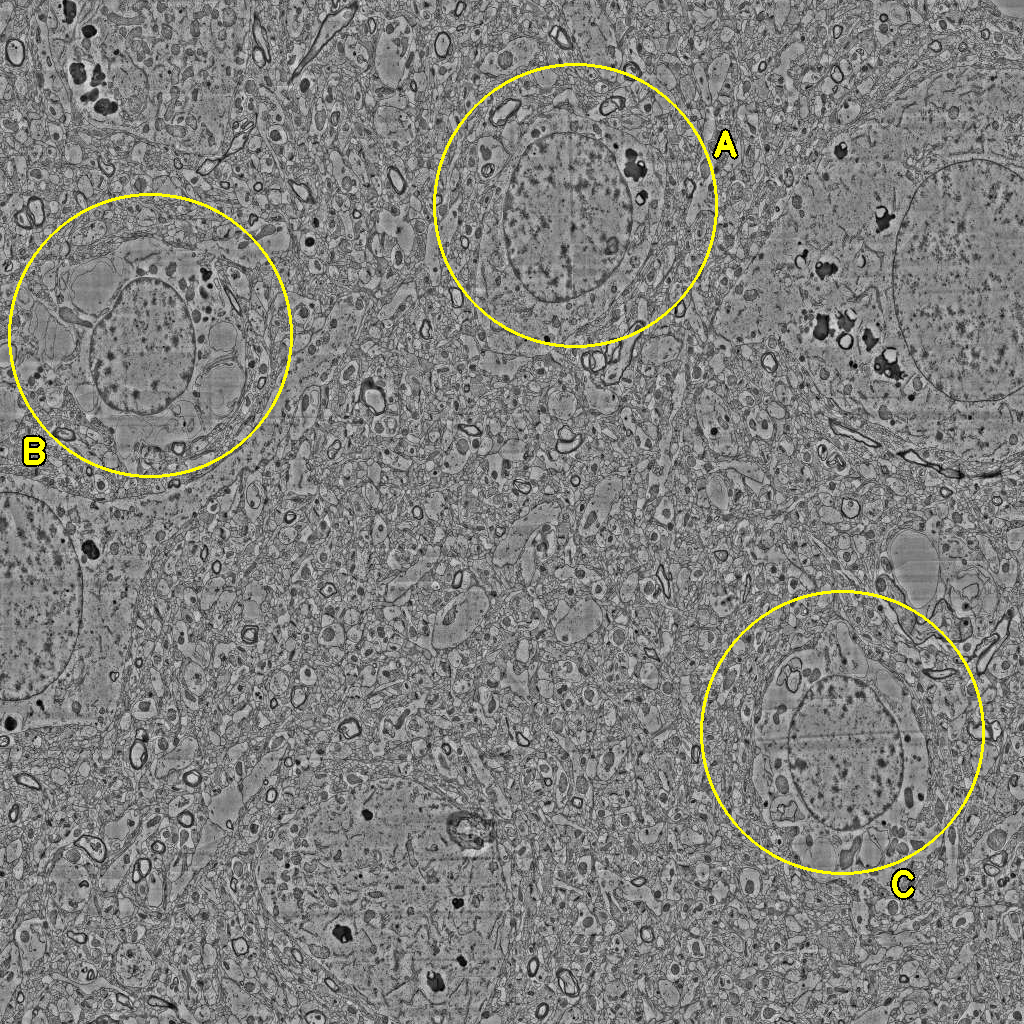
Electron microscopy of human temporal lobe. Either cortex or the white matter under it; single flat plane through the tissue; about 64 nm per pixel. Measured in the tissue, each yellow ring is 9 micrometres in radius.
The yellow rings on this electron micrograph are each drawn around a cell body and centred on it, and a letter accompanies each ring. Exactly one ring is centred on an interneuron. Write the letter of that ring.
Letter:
A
